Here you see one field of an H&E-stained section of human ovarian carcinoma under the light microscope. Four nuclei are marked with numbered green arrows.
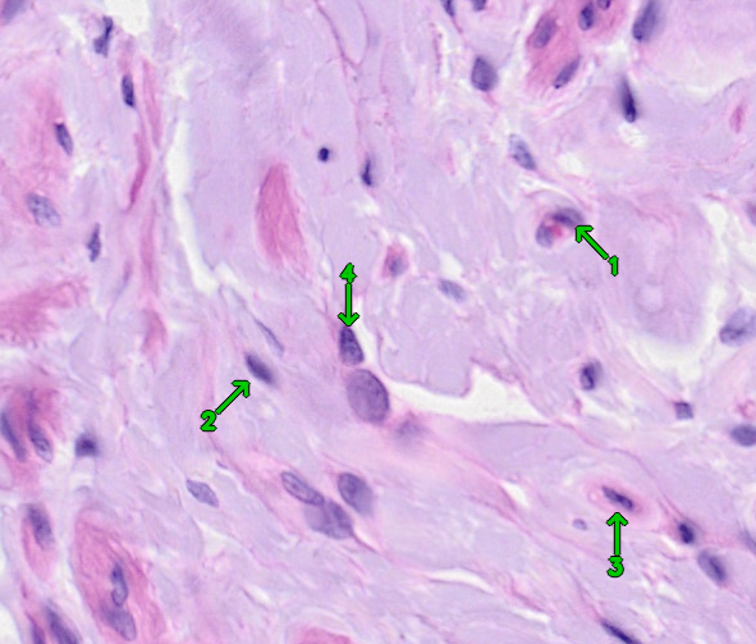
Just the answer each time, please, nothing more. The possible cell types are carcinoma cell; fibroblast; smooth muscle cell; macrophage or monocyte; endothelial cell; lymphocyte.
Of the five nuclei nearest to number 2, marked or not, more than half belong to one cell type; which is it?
endothelial cell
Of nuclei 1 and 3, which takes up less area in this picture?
3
